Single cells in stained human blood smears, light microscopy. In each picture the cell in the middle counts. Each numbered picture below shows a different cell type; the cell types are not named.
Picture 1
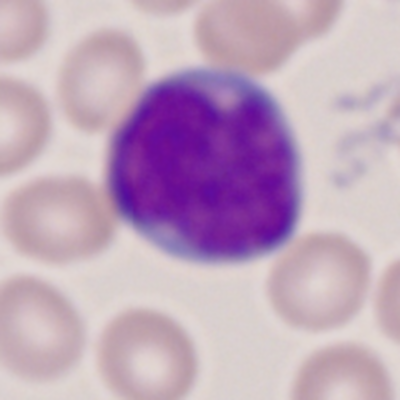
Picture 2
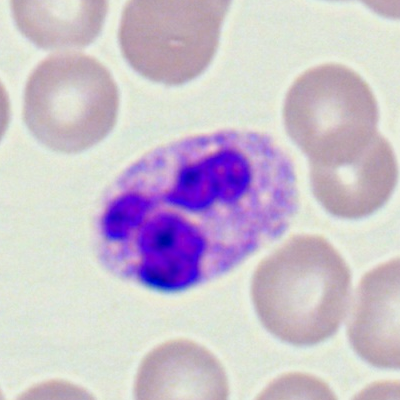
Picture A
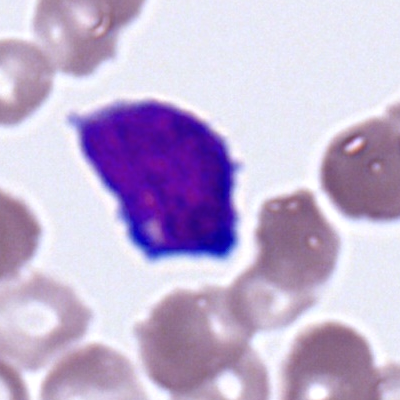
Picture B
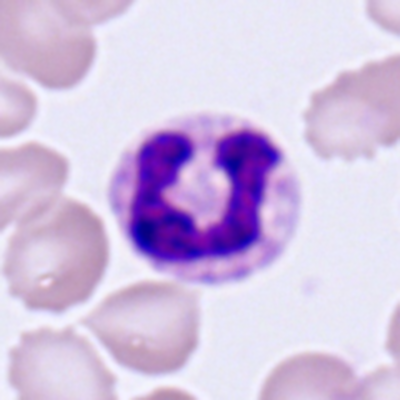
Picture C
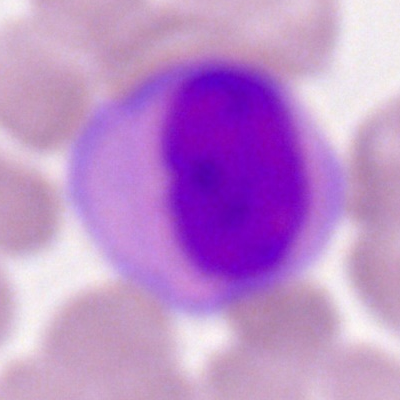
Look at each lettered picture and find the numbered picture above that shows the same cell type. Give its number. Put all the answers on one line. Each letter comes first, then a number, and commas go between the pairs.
A 1, B 2, C 1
